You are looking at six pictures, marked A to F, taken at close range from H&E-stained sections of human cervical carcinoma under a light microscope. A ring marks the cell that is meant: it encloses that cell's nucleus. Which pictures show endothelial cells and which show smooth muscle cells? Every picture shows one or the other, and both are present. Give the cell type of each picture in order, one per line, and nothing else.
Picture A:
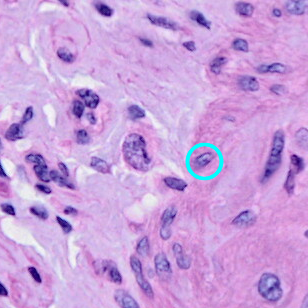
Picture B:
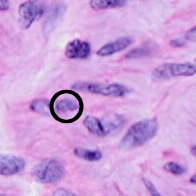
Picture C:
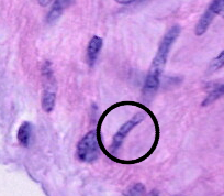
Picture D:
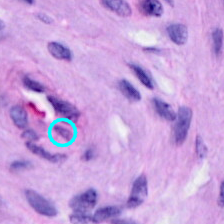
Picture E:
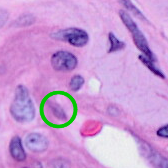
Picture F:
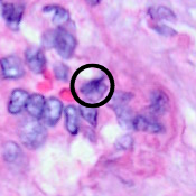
smooth muscle cell
smooth muscle cell
smooth muscle cell
endothelial cell
endothelial cell
endothelial cell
